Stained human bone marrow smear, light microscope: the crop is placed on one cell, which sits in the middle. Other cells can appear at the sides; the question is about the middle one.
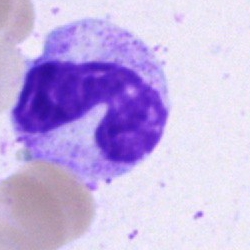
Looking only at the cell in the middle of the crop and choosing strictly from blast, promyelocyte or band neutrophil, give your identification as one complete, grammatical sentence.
The cell found in the middle of this crop is a band neutrophil.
